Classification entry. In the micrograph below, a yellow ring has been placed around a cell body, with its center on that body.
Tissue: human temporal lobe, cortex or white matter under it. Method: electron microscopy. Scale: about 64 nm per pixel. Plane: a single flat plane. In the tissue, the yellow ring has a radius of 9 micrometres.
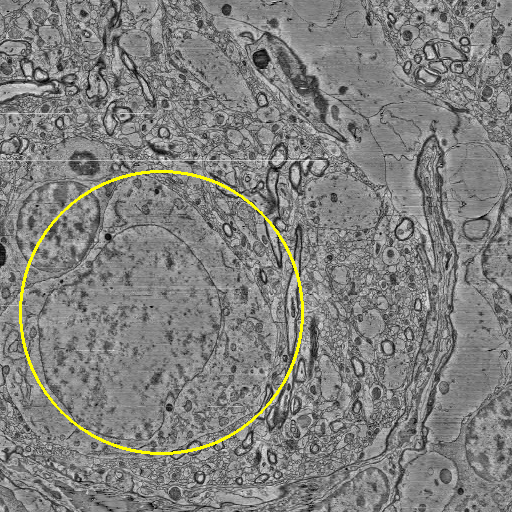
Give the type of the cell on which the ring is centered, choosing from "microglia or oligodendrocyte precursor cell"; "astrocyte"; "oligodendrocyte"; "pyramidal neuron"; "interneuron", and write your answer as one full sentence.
The cell body at the center of the yellow ring belongs to a pyramidal neuron.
